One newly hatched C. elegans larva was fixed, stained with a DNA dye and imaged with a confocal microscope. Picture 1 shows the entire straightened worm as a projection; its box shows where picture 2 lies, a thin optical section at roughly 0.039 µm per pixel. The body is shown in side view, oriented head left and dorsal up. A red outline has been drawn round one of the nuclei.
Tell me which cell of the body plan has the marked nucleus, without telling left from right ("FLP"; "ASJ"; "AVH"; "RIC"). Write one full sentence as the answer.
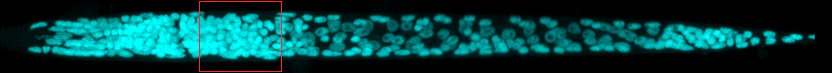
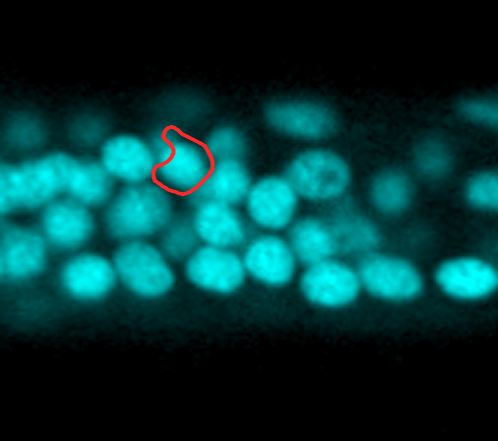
This is the nucleus of AVH, a neuron.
